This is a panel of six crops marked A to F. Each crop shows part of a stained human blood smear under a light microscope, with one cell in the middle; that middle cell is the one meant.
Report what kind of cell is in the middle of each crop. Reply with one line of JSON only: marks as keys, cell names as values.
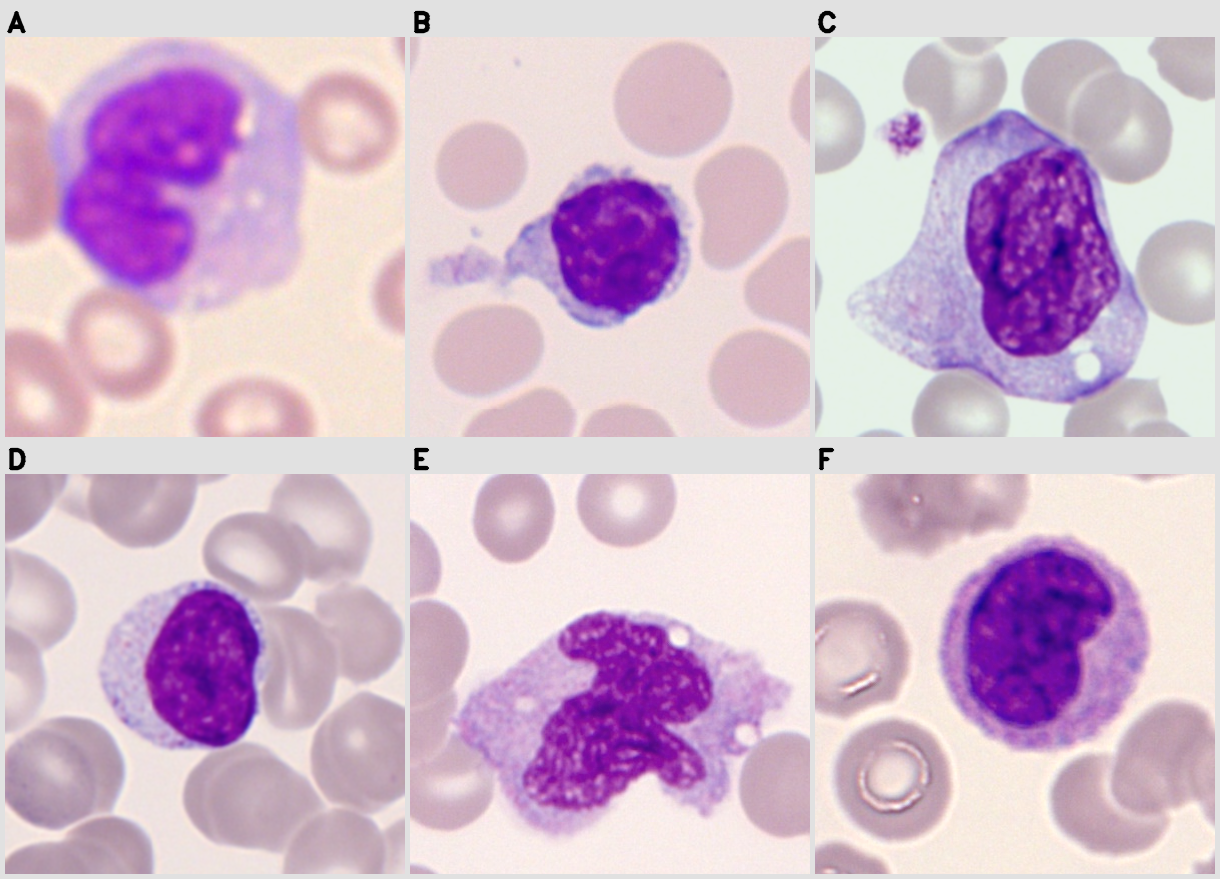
{"A": "monocyte", "B": "lymphocyte", "C": "monocyte", "D": "lymphocyte", "E": "monocyte", "F": "monocyte"}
